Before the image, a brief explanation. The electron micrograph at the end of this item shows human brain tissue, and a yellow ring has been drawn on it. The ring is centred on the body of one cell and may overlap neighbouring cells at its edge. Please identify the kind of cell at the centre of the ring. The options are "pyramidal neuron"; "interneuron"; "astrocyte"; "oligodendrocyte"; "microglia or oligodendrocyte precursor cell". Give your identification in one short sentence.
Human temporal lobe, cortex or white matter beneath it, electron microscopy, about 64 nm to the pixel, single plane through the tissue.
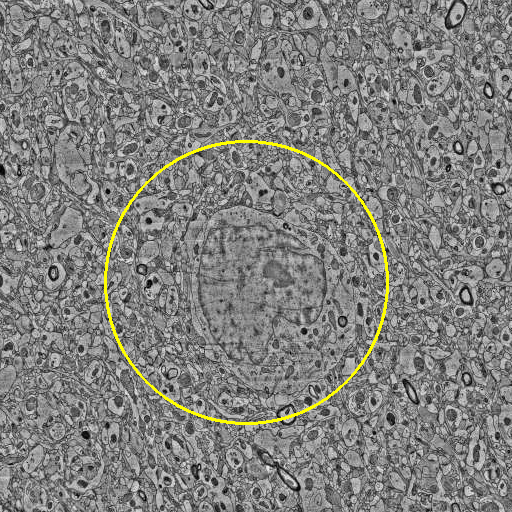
The ring has been placed around an interneuron.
